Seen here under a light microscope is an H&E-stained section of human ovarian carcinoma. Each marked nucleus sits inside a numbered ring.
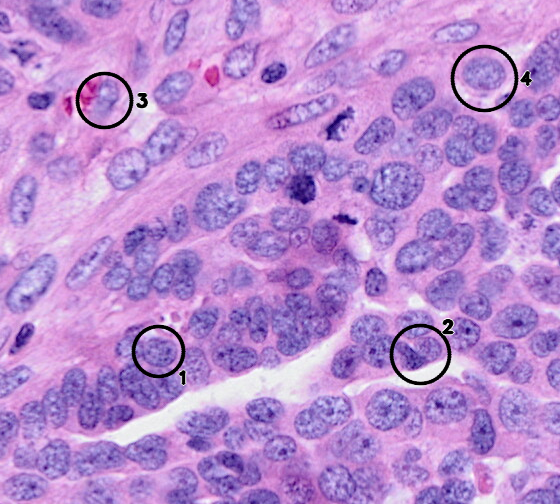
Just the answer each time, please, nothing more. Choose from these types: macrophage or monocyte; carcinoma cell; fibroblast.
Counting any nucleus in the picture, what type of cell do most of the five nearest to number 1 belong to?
carcinoma cell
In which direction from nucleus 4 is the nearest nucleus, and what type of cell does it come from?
a macrophage or monocyte, below and to the right of nucleus 4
